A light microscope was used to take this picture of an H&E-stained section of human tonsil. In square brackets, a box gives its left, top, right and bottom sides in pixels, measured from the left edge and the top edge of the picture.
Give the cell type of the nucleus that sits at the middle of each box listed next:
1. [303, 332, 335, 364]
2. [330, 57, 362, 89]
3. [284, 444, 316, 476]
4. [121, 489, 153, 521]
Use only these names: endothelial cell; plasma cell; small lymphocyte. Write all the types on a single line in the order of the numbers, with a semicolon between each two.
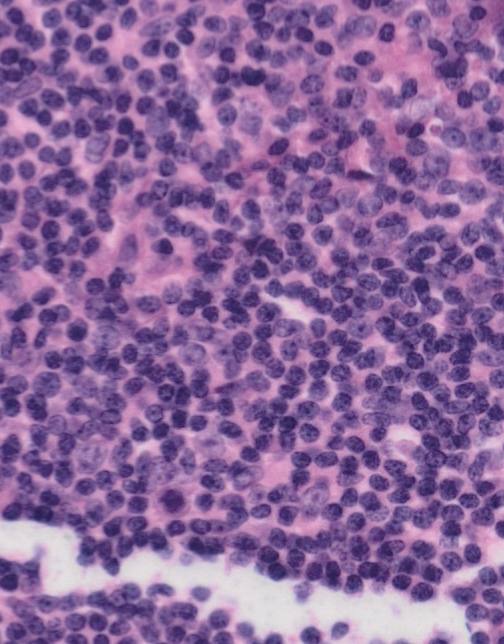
small lymphocyte; plasma cell; small lymphocyte; small lymphocyte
